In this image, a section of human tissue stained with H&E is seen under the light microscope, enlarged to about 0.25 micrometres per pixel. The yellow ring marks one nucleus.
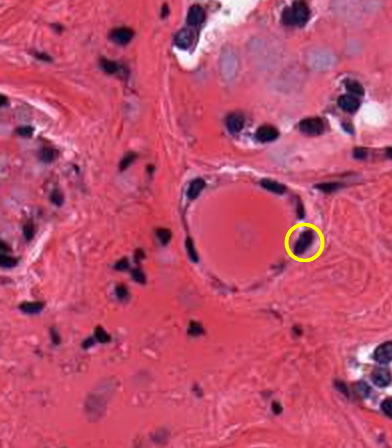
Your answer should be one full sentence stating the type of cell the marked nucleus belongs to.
The nucleus bearing the mark belongs to a thyroid follicular cell.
